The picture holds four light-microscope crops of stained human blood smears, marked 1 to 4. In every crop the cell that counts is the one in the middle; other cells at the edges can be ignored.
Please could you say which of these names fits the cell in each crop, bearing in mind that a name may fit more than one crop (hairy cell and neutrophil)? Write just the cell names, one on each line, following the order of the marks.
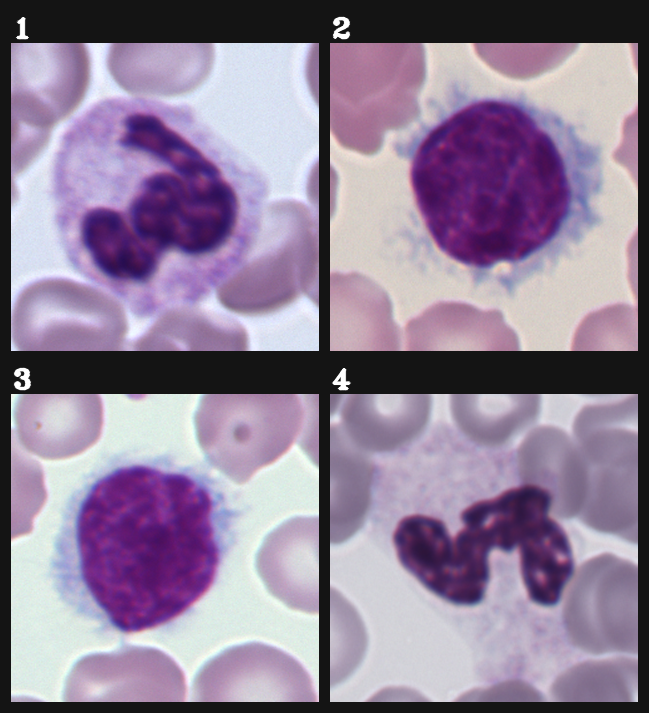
neutrophil
hairy cell
hairy cell
neutrophil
